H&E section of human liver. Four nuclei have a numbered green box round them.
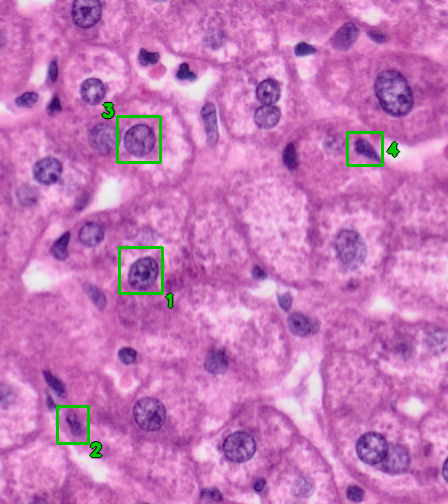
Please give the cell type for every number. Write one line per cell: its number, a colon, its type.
1: hepatocyte
2: Kupffer cell
3: hepatocyte
4: fibroblast or stellate cell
